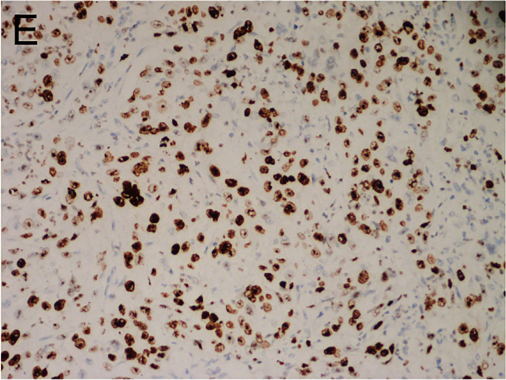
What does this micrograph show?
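In this section of the tumor the brown reaction product lies within the nuclei of the tumor cells, while the rest of the tissue is counterstained pale blue. The brown nuclei are large, rounded to irregular, and vary strongly in size, some very large and dark. Smaller pale blue nuclei of stromal and inflammatory cells lie between them without brown colour.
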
